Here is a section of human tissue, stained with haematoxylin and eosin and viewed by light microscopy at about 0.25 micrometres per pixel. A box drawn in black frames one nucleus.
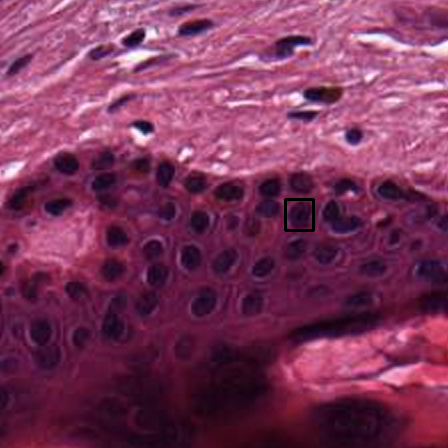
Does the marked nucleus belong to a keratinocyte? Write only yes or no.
yes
